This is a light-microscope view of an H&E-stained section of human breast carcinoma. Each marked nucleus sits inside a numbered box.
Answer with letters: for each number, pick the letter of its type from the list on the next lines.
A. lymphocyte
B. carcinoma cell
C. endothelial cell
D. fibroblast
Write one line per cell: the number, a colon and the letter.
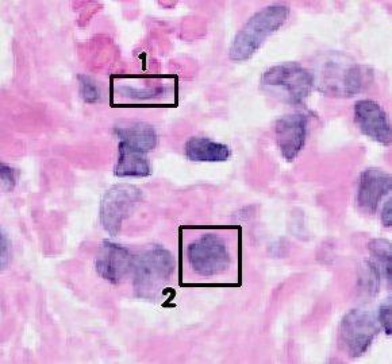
1: C
2: B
